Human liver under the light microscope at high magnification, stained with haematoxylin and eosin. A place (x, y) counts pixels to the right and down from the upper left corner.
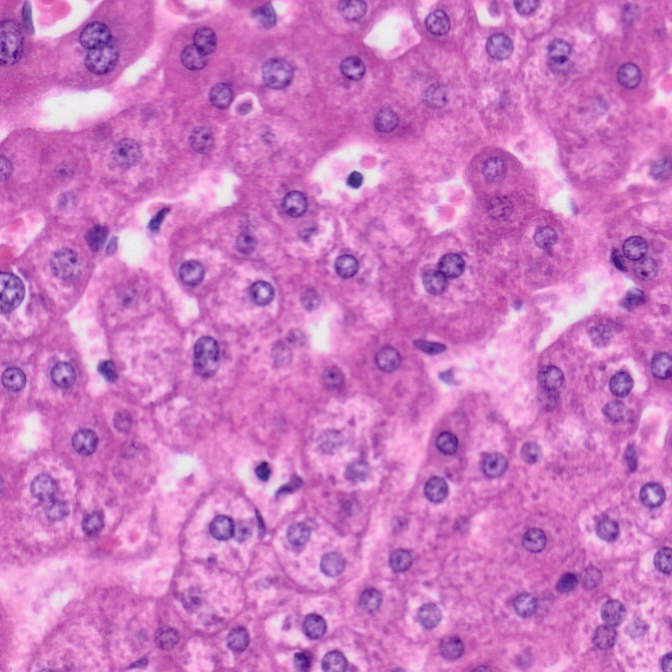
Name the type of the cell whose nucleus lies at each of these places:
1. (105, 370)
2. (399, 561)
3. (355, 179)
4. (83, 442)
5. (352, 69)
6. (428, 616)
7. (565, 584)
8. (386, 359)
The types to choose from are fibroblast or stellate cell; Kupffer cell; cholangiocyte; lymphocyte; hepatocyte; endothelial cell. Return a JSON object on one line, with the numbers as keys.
{"1": "endothelial cell", "2": "hepatocyte", "3": "lymphocyte", "4": "hepatocyte", "5": "hepatocyte", "6": "hepatocyte", "7": "fibroblast or stellate cell", "8": "hepatocyte"}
